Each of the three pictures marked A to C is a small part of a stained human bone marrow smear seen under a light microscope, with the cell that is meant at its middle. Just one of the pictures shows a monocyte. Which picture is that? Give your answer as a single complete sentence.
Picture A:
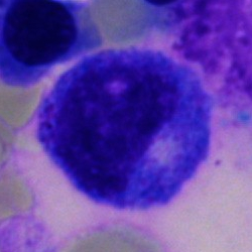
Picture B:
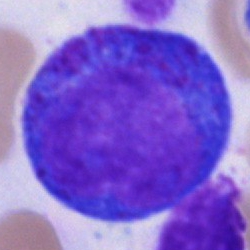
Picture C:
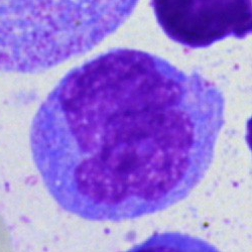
The picture with the monocyte is C.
